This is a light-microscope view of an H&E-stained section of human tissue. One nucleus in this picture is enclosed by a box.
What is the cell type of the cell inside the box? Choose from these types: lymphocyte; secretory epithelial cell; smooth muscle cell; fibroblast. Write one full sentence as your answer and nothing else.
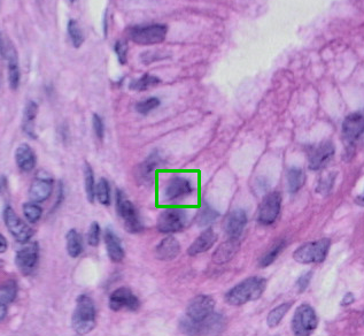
In this preparation, the cell inside the box is a secretory epithelial cell.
